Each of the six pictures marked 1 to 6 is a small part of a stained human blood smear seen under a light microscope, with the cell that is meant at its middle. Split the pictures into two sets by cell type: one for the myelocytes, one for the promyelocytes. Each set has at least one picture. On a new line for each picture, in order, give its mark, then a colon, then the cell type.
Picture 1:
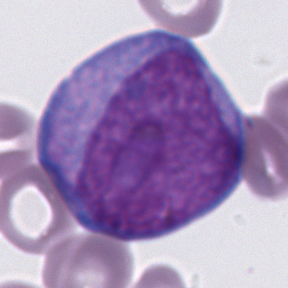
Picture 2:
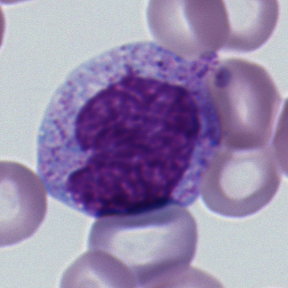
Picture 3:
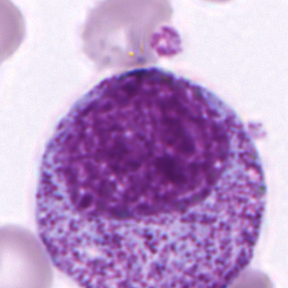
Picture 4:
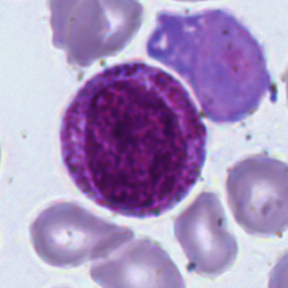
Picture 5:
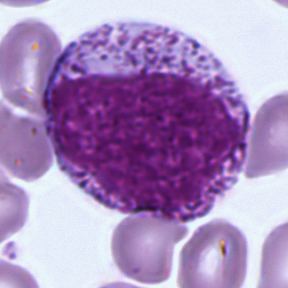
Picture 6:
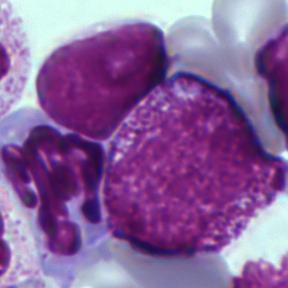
1: promyelocyte
2: myelocyte
3: promyelocyte
4: myelocyte
5: myelocyte
6: myelocyte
